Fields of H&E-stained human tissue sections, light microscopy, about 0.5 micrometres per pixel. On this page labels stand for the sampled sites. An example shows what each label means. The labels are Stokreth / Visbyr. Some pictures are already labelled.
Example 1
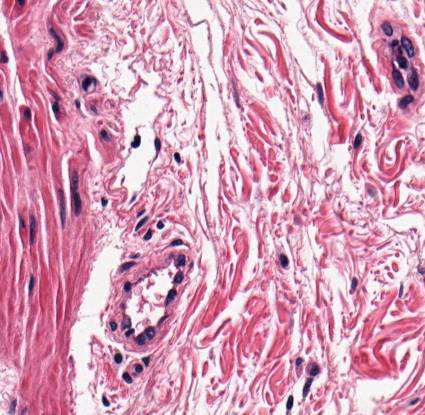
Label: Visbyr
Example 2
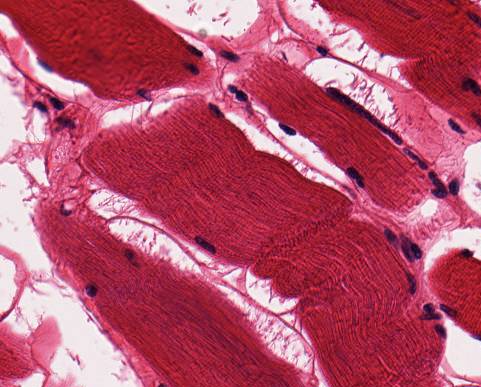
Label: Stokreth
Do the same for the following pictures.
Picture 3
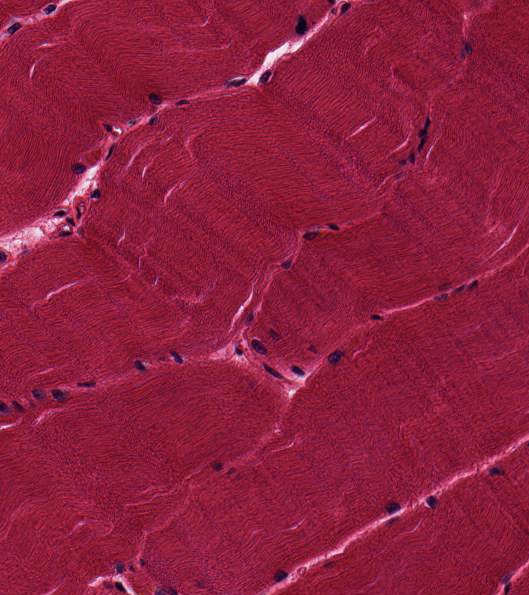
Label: Stokreth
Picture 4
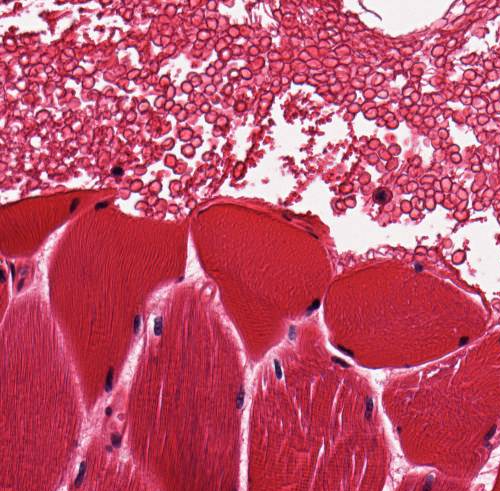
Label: Stokreth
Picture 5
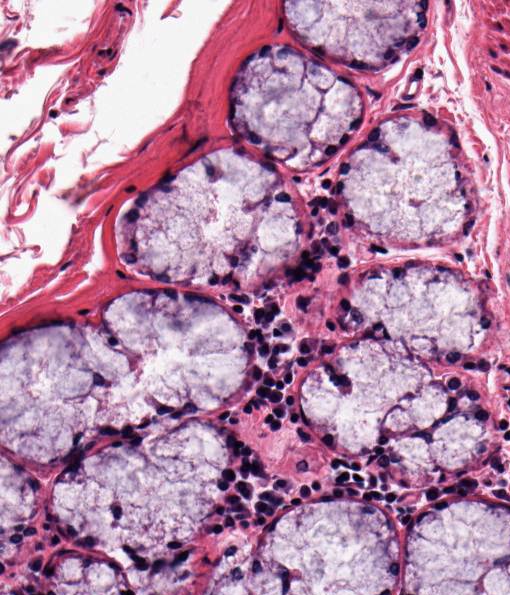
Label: Visbyr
